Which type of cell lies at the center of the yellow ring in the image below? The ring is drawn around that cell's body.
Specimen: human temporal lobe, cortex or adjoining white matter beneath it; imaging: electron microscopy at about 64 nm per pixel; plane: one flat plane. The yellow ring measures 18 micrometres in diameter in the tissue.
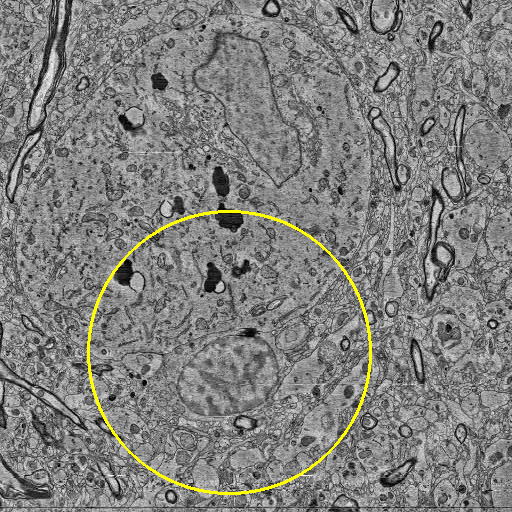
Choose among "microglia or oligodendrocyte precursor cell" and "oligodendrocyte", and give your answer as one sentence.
The cell body at the center belongs to an oligodendrocyte.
